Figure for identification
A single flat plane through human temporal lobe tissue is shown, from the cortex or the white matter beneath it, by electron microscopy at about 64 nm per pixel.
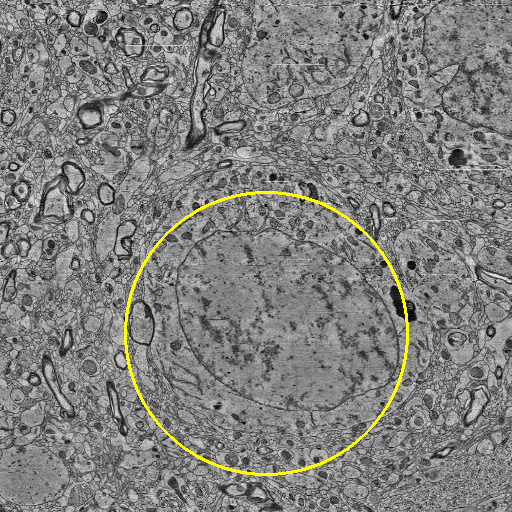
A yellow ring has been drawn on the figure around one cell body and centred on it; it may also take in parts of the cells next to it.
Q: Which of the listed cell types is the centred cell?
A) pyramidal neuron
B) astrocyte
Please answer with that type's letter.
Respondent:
A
